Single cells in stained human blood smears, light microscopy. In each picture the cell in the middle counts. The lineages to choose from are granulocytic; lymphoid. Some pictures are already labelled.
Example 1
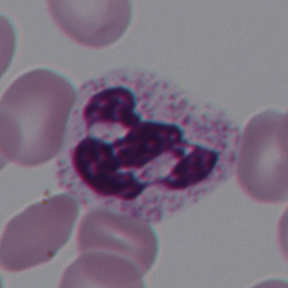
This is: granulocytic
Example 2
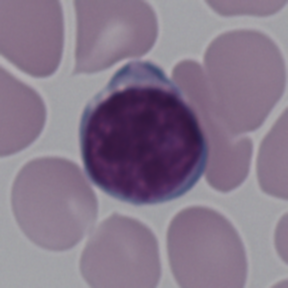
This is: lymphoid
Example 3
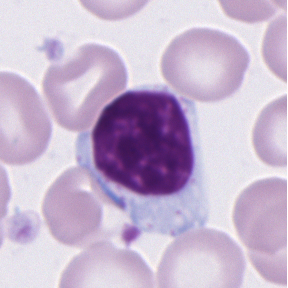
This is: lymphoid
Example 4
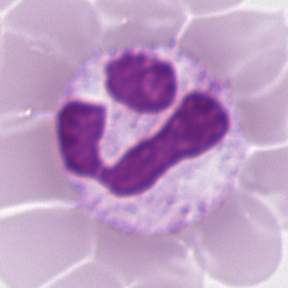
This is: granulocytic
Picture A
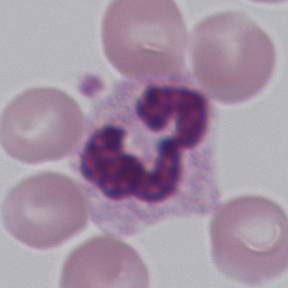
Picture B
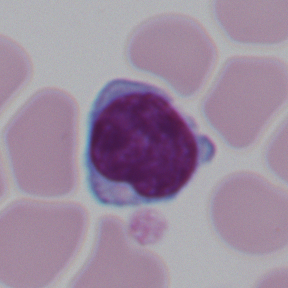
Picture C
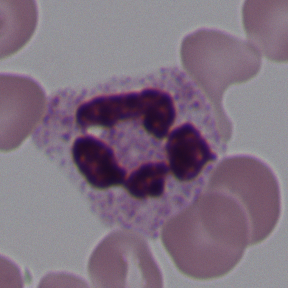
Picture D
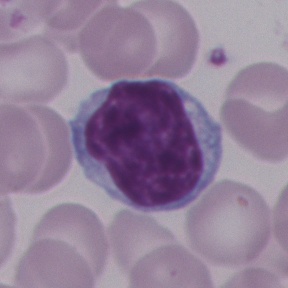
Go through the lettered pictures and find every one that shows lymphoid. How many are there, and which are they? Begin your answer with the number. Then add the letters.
2: B, D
